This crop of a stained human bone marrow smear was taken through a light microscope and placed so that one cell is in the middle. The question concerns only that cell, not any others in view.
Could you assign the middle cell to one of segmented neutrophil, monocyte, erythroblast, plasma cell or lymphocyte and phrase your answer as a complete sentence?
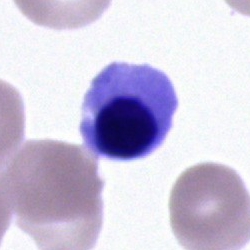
Standing at the centre of this crop is an erythroblast.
